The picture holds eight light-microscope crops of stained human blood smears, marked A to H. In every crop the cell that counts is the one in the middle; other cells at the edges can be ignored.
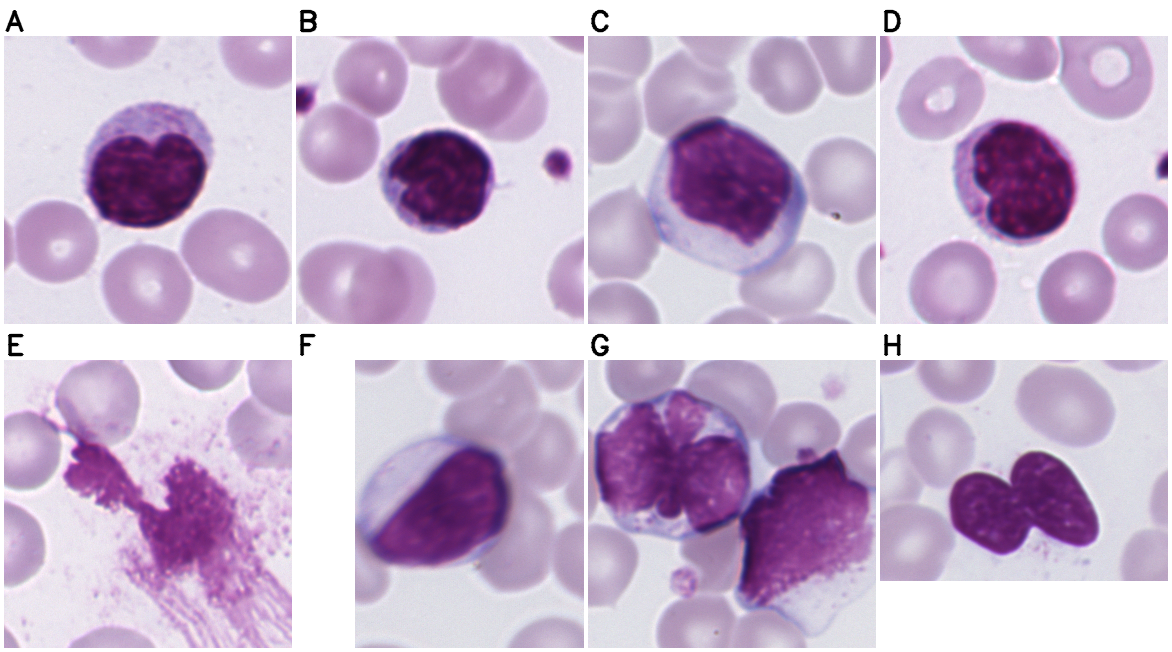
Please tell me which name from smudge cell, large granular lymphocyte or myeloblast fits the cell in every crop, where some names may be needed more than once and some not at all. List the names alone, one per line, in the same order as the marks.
large granular lymphocyte
large granular lymphocyte
large granular lymphocyte
large granular lymphocyte
smudge cell
large granular lymphocyte
large granular lymphocyte
smudge cell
